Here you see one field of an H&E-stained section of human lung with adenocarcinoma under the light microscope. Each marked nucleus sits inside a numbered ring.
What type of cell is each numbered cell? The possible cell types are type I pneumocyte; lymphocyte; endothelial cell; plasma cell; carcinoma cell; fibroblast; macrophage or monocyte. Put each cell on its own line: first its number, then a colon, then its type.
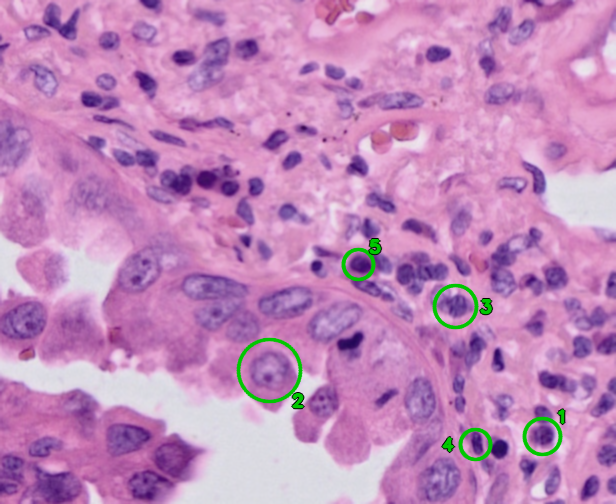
1: plasma cell
2: carcinoma cell
3: lymphocyte
4: lymphocyte
5: plasma cell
